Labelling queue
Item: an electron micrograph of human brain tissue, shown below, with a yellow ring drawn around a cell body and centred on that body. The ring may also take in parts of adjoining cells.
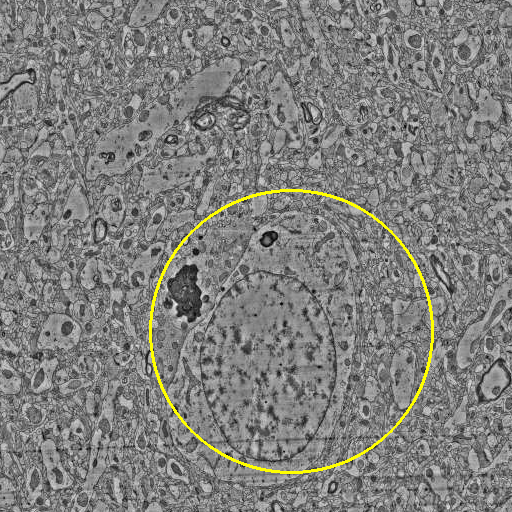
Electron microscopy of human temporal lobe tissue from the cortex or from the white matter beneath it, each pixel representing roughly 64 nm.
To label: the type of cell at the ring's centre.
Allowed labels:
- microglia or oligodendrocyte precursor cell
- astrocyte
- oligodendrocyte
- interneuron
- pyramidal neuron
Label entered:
pyramidal neuron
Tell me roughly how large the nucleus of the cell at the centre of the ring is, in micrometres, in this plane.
In this plane, the nucleus of the cell at the centre of the ring measures about 12 by 9 micrometres.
